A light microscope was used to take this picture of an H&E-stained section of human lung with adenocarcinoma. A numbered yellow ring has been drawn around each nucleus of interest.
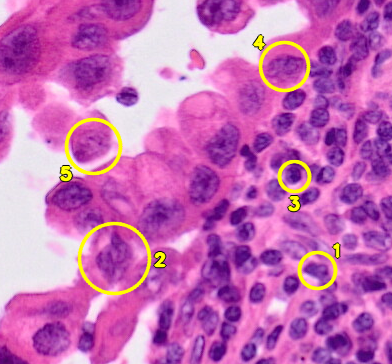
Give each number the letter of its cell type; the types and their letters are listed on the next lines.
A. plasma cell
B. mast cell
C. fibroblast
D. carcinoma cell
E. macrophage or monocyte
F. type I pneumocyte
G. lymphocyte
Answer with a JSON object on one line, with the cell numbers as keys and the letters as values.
{"1": "G", "2": "D", "3": "G", "4": "D", "5": "D"}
